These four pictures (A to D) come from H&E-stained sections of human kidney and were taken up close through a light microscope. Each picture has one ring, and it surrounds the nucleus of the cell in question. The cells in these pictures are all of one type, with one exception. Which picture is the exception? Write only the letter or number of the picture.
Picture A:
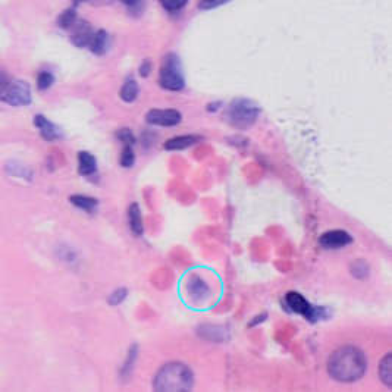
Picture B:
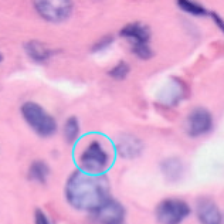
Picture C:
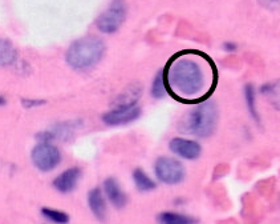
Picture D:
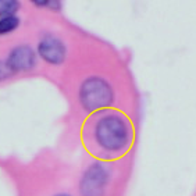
A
